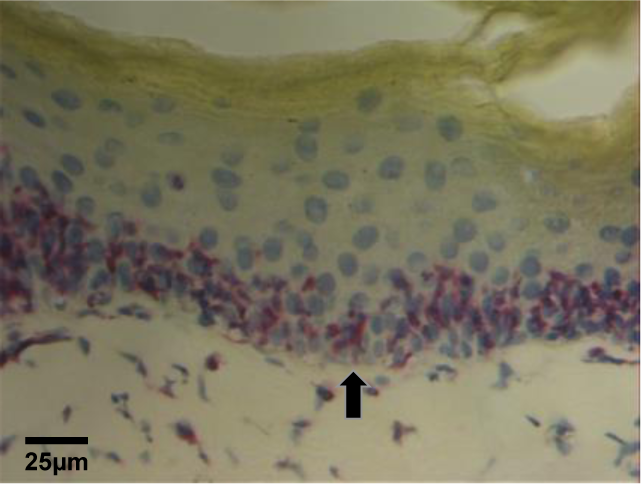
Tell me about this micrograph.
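Reddish/purple stained cells form a dense band in the lowest layers of the epithelium, and a few lie in the connective tissue below. Above this band the epithelial cells have rounded to oval blue nuclei and pale cytoplasm, and a yellowish keratinized layer lies at the top. The underlying connective tissue is loose, with sparse spindle-shaped nuclei.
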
